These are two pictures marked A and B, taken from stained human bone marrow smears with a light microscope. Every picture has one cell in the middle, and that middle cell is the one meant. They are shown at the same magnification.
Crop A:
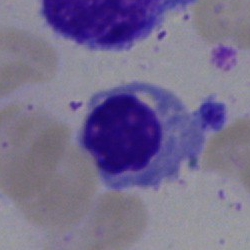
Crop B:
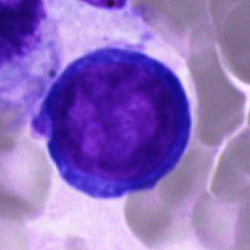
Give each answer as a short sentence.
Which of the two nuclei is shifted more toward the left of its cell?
Seen within its cell, the nucleus in crop A lies further toward the left.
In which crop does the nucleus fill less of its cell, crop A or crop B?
It is the cell in crop A that is filled less by its nucleus.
